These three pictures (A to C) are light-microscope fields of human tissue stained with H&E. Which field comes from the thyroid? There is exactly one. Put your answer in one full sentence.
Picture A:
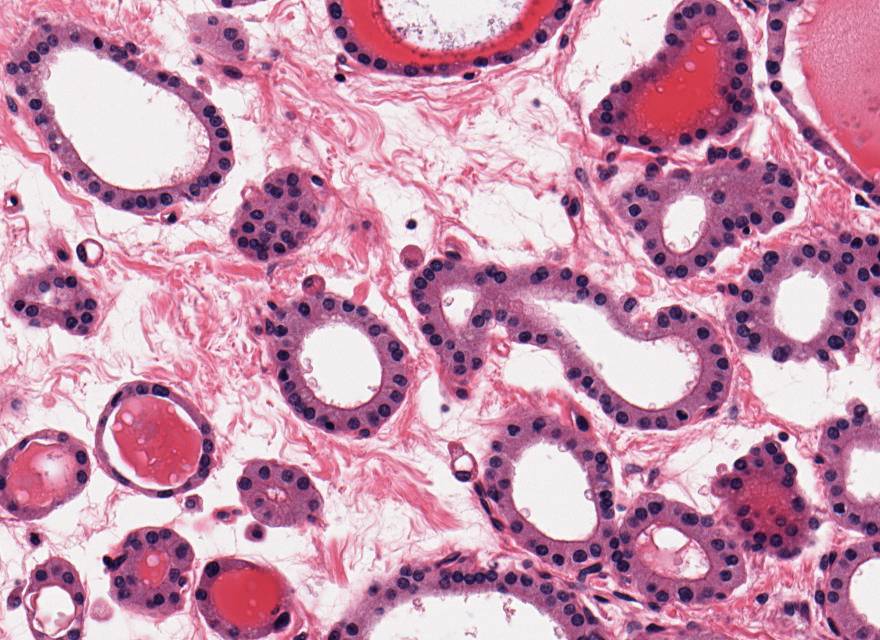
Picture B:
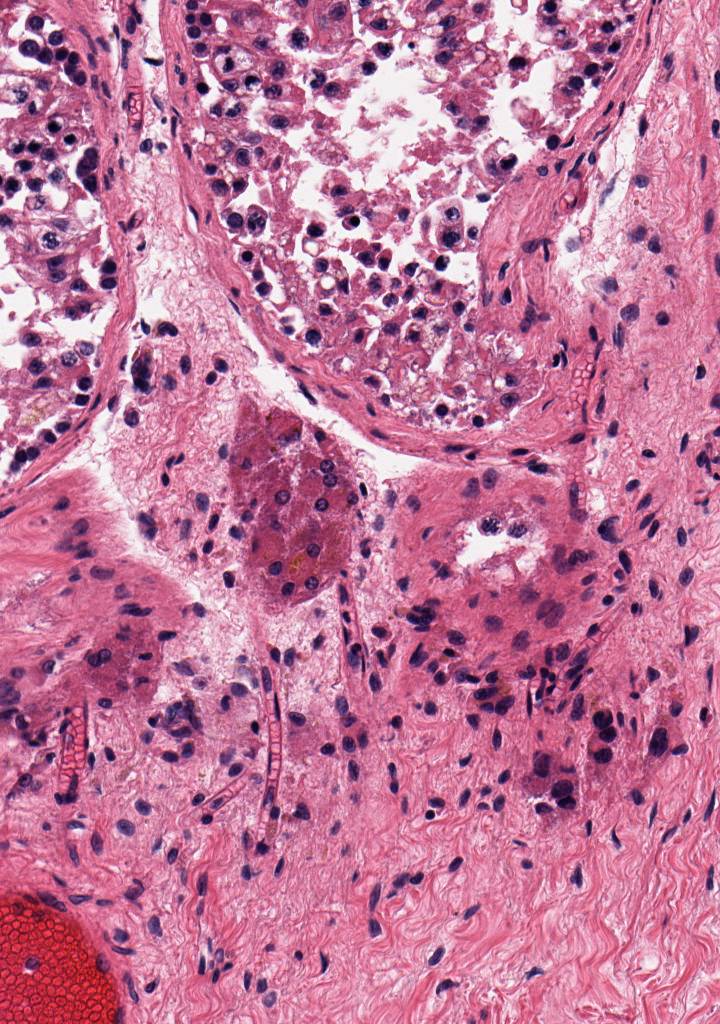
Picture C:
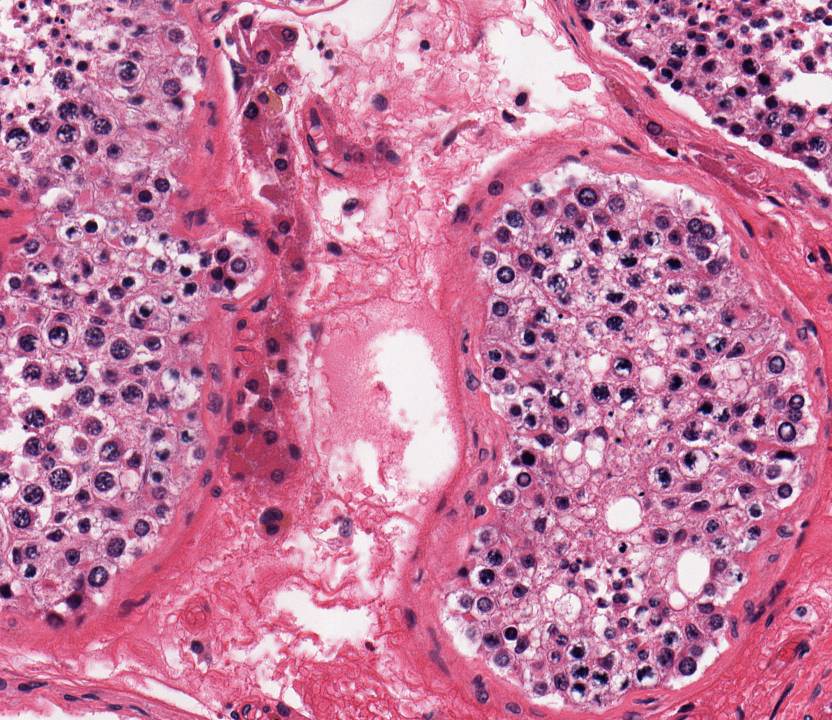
Picture A comes from the thyroid.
